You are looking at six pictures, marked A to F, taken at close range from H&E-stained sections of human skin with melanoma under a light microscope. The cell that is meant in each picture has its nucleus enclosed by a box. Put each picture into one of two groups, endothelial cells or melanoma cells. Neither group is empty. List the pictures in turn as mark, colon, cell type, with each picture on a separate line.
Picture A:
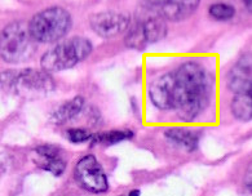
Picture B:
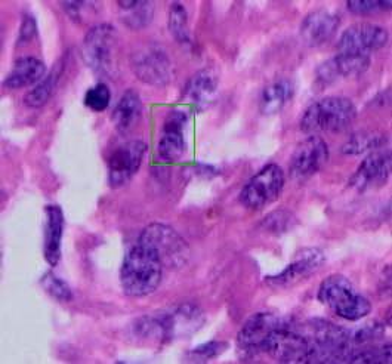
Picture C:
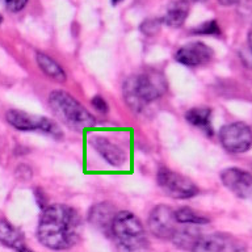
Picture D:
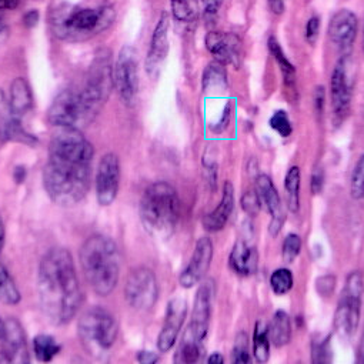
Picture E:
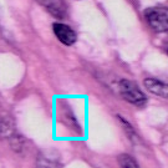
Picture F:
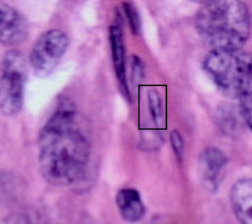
A: melanoma cell
B: melanoma cell
C: melanoma cell
D: endothelial cell
E: endothelial cell
F: endothelial cell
